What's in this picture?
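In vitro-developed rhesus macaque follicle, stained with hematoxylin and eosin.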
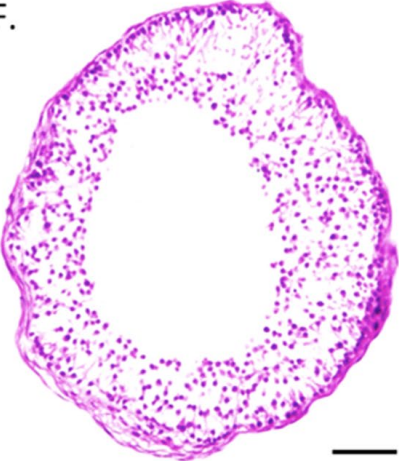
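The wall is thick and its cells, with small round dark purple nuclei, lie loosely scattered in a pale pink, finely fibrous background. A thin layer of flattened cells with pink cytoplasm lines the outer surface.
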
